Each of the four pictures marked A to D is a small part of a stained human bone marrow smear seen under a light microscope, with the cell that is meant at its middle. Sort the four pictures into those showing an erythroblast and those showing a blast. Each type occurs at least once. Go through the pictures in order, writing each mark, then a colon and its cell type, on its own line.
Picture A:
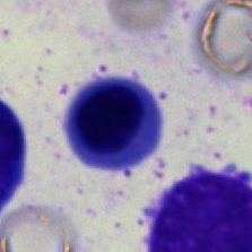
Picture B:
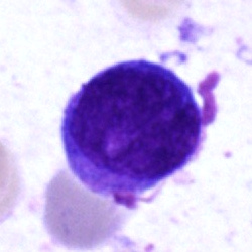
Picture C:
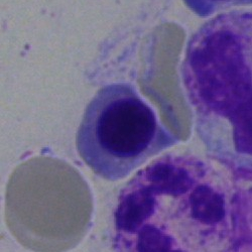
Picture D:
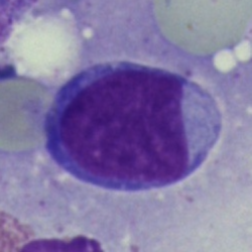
A: erythroblast
B: blast
C: erythroblast
D: blast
